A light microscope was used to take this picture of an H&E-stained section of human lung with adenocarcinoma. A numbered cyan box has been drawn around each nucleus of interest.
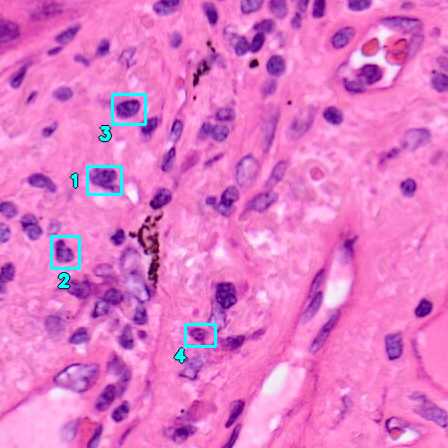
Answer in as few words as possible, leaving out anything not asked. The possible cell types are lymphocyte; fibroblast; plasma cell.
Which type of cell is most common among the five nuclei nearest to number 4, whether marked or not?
fibroblast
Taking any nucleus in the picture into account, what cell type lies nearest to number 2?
lymphocyte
